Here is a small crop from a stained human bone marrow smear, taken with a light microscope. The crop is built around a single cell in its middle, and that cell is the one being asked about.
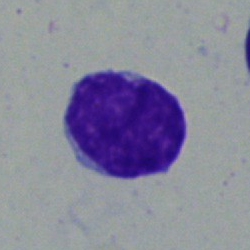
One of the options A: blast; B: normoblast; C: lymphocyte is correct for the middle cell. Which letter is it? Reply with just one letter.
C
